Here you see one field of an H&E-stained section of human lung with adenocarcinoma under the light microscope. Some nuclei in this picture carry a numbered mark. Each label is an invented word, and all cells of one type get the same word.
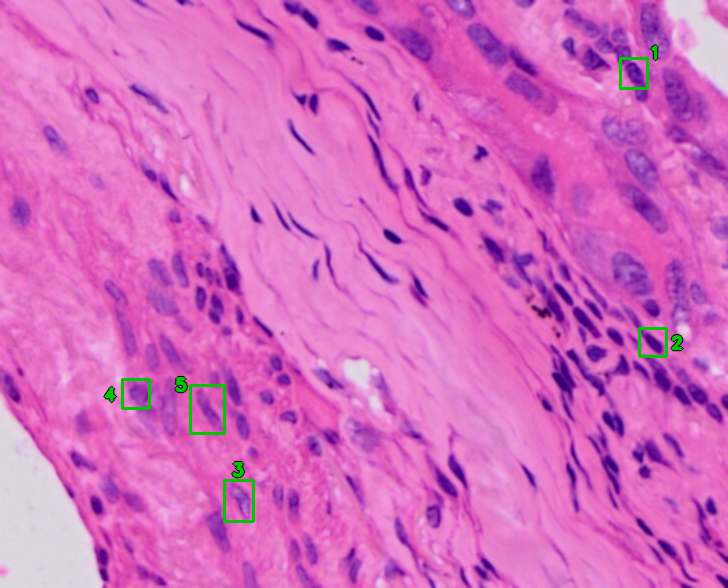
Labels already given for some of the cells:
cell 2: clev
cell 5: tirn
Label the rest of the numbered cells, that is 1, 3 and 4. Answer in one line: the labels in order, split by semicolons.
clev; tirn; tirn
